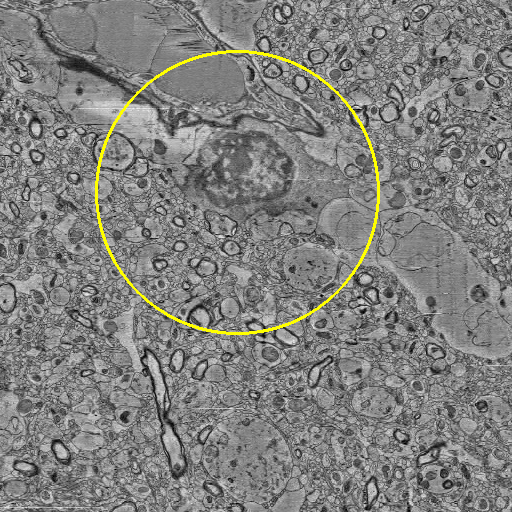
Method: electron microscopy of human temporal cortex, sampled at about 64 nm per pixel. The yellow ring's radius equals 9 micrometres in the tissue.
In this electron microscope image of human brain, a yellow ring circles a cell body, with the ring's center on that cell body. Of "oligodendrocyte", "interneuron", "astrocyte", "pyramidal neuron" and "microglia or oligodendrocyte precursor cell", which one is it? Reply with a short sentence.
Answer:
It is an oligodendrocyte at the center of the ring.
